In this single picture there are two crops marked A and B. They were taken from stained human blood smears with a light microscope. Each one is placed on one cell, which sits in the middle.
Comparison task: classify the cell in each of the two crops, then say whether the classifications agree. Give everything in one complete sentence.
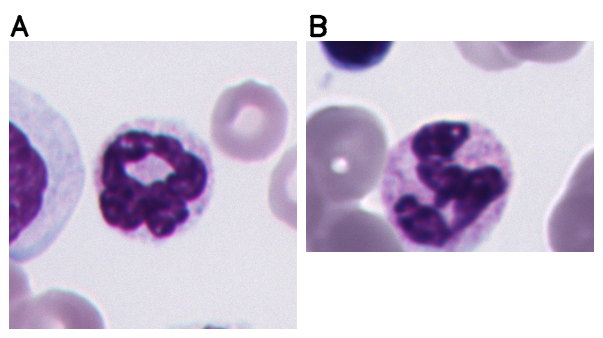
Yes, the central cells in both of the crops are segmented neutrophils.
